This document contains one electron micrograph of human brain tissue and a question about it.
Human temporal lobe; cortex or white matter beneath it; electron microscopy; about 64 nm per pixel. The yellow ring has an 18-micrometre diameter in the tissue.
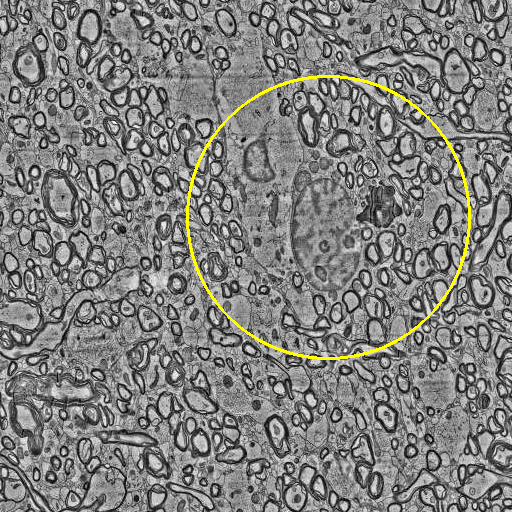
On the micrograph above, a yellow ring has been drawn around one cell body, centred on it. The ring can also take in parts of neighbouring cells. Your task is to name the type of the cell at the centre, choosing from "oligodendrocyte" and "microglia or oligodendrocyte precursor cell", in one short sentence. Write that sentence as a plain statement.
Here the ring is centred on an oligodendrocyte.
